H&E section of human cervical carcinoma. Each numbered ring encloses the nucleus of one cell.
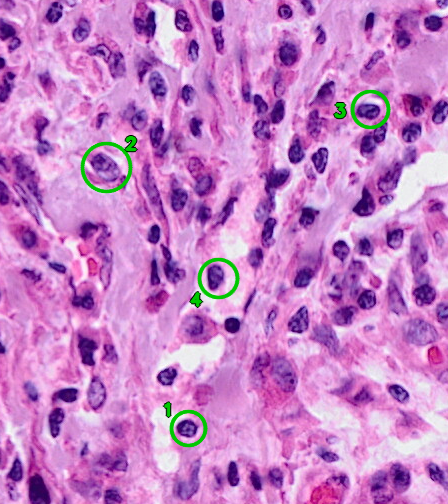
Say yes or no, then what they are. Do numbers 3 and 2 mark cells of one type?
No, the cell numbered 3 is a lymphocyte and the cell numbered 2 is a macrophage or monocyte.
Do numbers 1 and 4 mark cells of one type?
Yes, briefly put, cells 1 and 4 are both lymphocytes.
